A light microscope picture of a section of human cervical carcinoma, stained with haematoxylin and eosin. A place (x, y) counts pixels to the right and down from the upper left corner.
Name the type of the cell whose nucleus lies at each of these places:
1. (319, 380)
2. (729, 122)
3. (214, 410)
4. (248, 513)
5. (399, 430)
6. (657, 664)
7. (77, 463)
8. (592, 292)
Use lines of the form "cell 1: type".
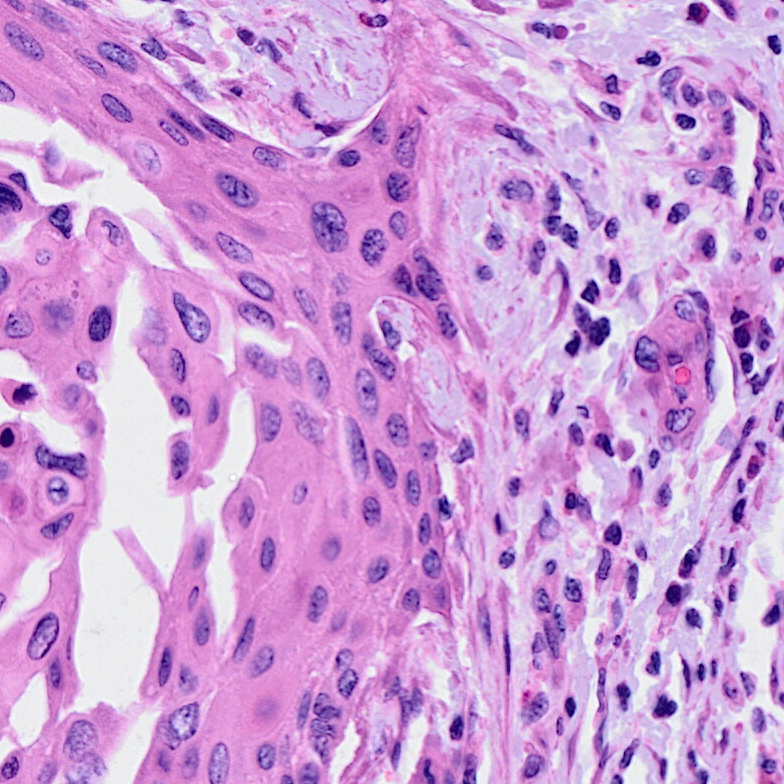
cell 1: squamous carcinoma cell
cell 2: endothelial cell
cell 3: squamous carcinoma cell
cell 4: squamous carcinoma cell
cell 5: squamous carcinoma cell
cell 6: lymphocyte
cell 7: squamous carcinoma cell
cell 8: lymphocyte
